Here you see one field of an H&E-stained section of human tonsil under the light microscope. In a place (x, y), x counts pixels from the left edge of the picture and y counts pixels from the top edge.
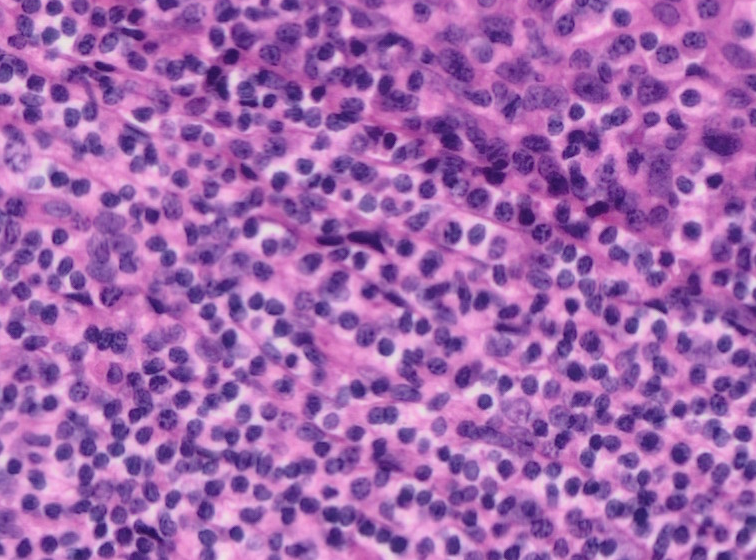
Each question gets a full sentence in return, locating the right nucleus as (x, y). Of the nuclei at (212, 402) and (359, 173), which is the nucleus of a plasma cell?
The nucleus at (359, 173) is attributed to a plasma cell, unlike the other nucleus.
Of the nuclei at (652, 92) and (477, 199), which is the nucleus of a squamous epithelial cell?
The nucleus that belongs to a squamous epithelial cell is located at (652, 92).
